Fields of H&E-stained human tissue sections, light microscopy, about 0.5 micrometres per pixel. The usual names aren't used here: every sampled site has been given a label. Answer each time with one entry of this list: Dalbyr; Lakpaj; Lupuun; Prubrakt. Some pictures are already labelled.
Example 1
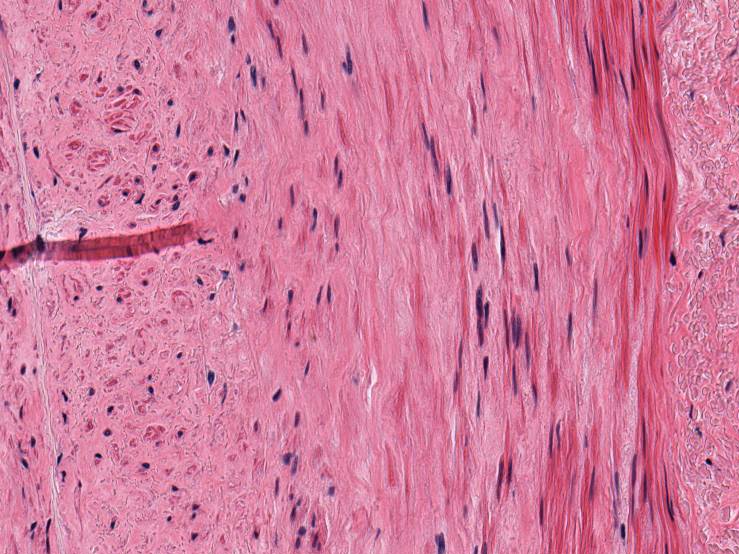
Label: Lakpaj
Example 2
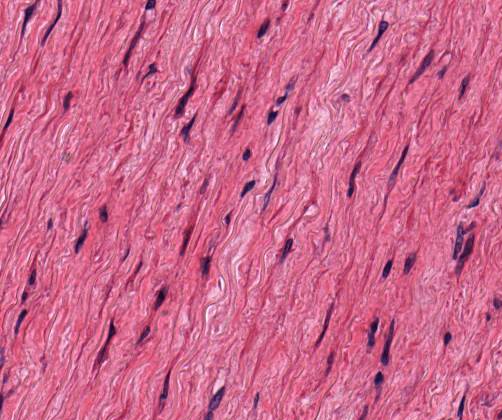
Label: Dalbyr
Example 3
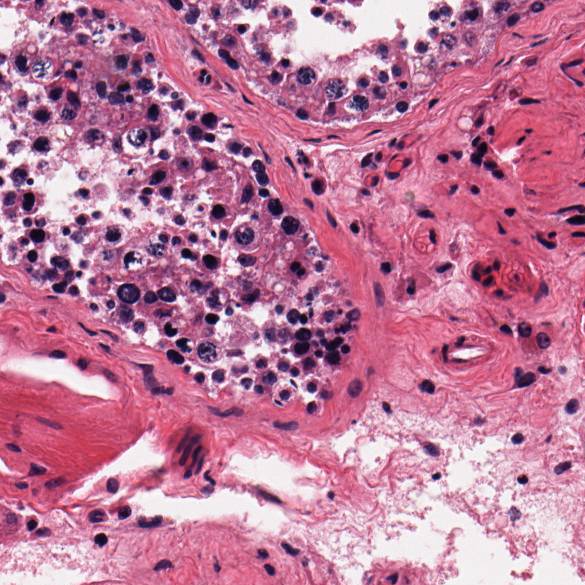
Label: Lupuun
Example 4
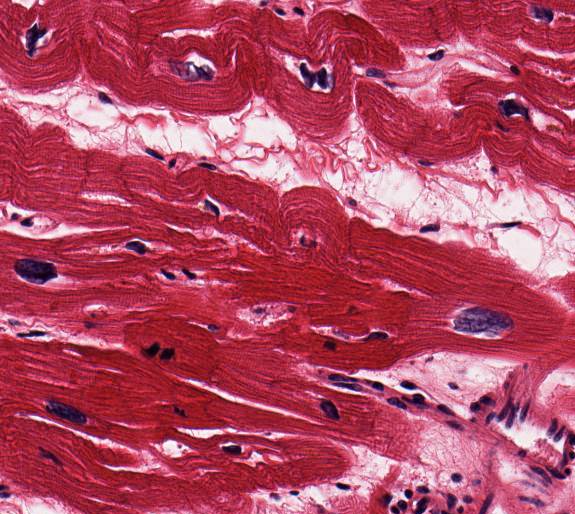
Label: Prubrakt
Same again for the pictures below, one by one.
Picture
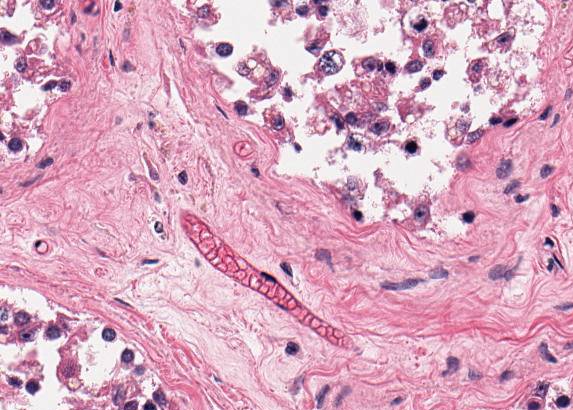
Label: Lupuun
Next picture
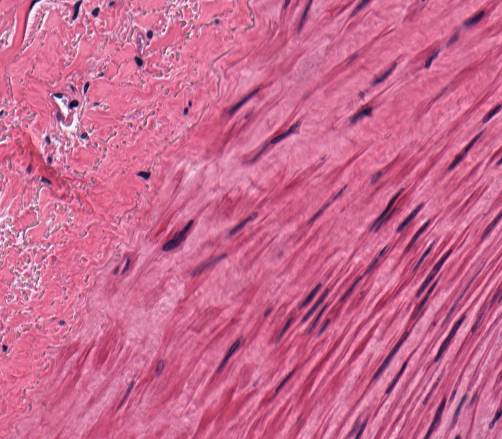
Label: Lakpaj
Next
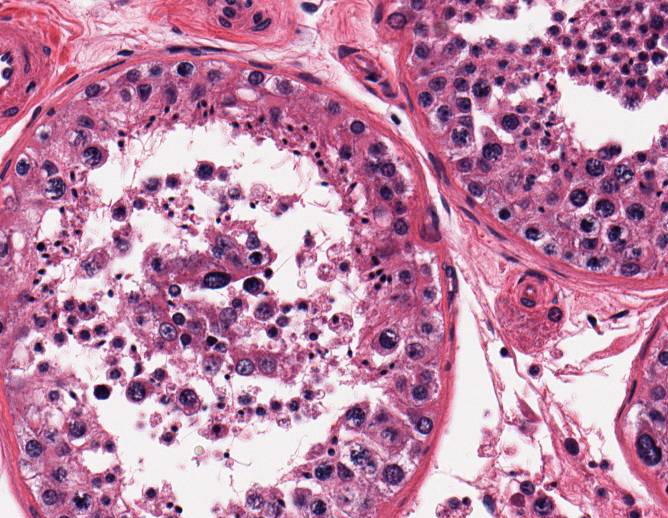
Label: Lupuun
